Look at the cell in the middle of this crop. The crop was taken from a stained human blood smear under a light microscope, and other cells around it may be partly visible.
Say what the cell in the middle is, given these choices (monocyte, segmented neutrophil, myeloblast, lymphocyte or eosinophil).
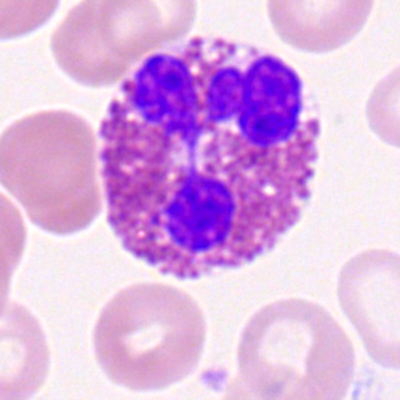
eosinophil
